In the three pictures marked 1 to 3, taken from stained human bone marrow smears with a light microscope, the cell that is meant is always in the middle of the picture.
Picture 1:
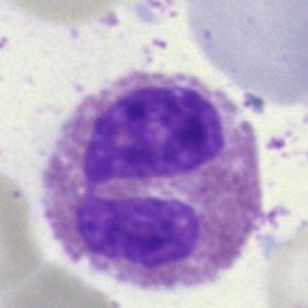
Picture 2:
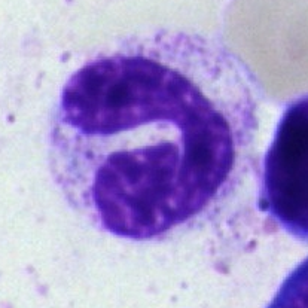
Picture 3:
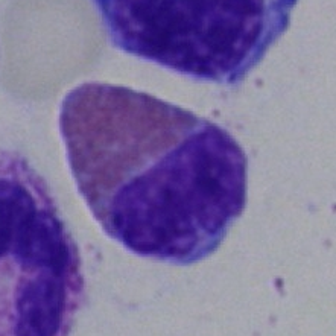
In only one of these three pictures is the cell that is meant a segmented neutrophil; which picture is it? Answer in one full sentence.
Picture 2 shows the segmented neutrophil.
